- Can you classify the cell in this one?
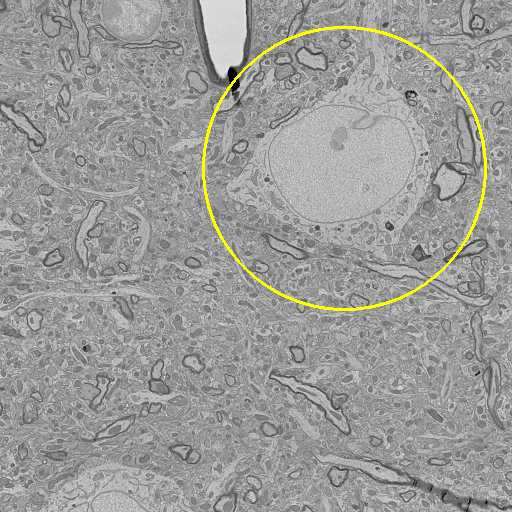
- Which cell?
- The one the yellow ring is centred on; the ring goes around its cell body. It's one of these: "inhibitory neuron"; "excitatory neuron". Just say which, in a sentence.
The cell body in the ring belongs to an excitatory neuron.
